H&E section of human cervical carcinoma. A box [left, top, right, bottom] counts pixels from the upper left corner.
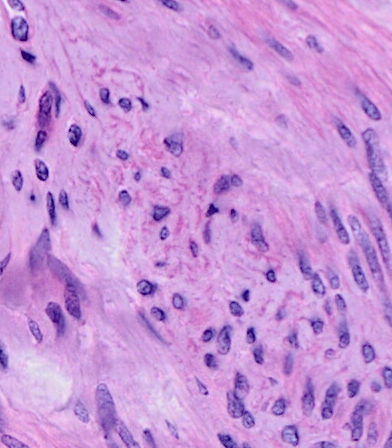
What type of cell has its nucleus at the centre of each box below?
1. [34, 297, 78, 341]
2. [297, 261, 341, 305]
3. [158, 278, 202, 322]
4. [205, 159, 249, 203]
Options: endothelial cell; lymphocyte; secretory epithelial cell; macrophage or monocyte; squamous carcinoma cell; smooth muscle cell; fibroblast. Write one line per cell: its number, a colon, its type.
1: fibroblast
2: smooth muscle cell
3: smooth muscle cell
4: smooth muscle cell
